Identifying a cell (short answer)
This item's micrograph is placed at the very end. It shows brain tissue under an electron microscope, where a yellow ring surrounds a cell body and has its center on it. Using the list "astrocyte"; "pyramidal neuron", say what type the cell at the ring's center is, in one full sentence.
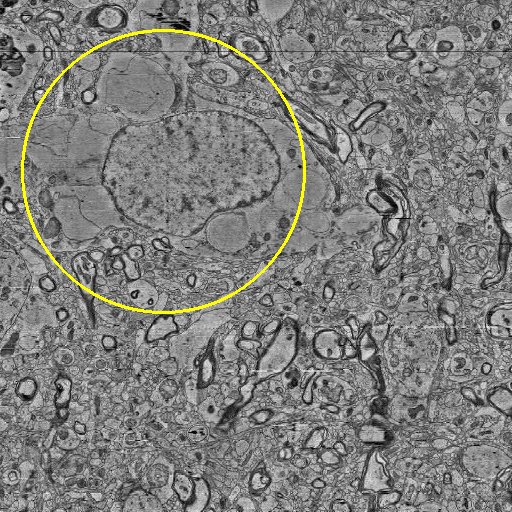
This picture shows an astrocyte at the center of the yellow ring drawn on it.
